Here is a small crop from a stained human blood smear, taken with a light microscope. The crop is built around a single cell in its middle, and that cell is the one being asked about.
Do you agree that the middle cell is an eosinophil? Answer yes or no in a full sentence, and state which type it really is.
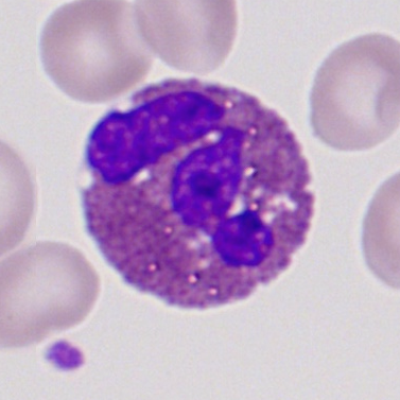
Yes, an eosinophil occupies the middle of the crop.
